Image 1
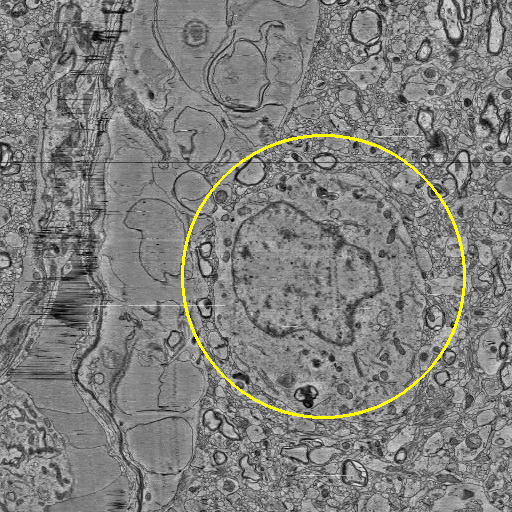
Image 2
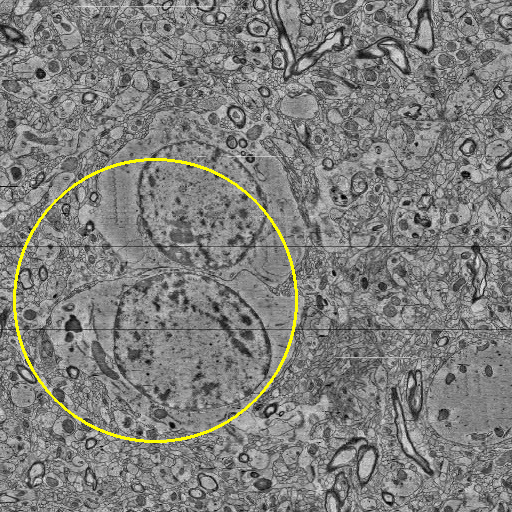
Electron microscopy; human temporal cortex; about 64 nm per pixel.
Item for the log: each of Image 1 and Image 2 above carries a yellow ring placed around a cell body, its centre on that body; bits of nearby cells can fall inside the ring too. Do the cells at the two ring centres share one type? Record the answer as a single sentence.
No, the two cells at the ring centres in Image 1 and Image 2 are of two types.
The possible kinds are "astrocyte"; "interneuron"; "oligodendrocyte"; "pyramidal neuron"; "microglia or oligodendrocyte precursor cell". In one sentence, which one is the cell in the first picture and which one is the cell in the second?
The cell ringed in the second picture is an astrocyte, whereas the one ringed in the first is a pyramidal neuron.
